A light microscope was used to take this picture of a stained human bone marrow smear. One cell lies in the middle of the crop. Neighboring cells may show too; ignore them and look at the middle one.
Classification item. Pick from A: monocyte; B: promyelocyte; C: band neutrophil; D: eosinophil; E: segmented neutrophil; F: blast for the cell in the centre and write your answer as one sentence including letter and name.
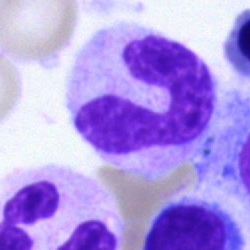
That the central cell is a band neutrophil makes option C correct.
